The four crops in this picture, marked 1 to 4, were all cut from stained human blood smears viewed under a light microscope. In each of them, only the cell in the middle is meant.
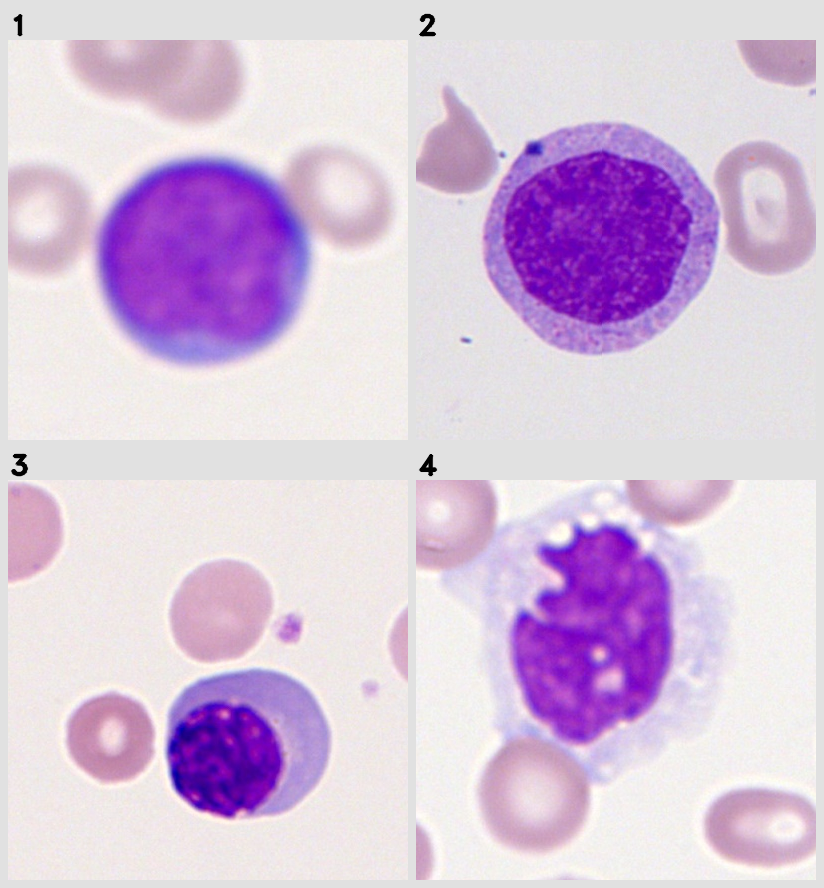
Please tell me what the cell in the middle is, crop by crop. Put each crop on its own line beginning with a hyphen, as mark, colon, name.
- 1: myeloblast
- 2: myeloblast
- 3: erythroblast
- 4: monocyte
